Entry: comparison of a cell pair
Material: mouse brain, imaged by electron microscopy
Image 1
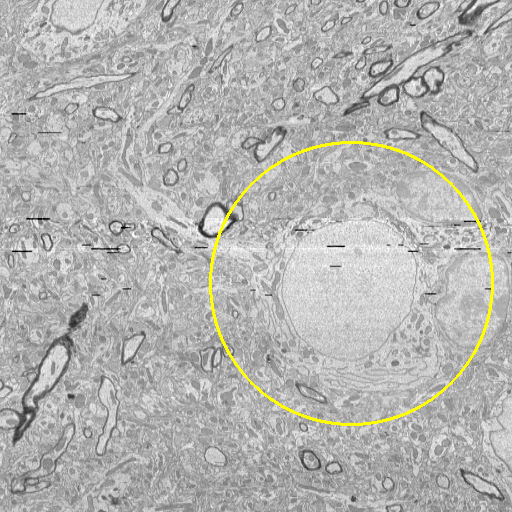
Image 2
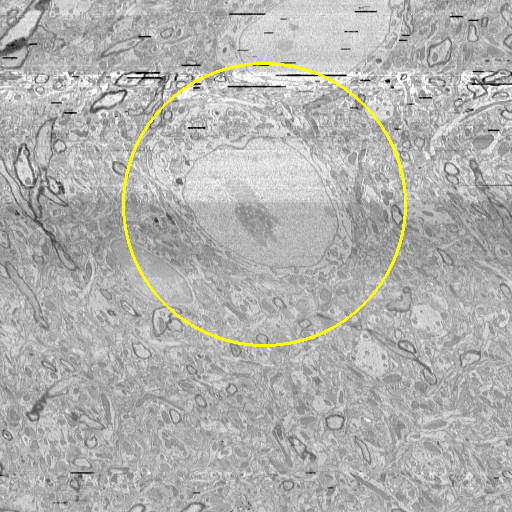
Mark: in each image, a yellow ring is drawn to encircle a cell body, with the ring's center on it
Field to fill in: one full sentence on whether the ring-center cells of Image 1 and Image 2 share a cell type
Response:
No, Image 1 and Image 2 show ring-center cells of two separate types.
